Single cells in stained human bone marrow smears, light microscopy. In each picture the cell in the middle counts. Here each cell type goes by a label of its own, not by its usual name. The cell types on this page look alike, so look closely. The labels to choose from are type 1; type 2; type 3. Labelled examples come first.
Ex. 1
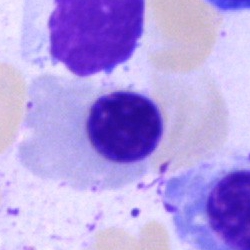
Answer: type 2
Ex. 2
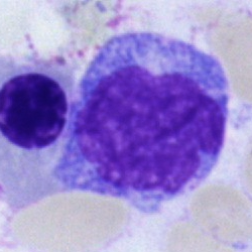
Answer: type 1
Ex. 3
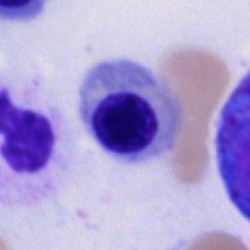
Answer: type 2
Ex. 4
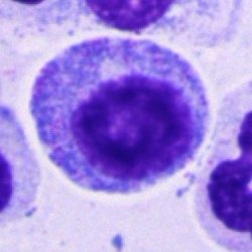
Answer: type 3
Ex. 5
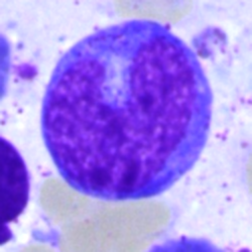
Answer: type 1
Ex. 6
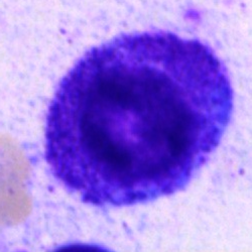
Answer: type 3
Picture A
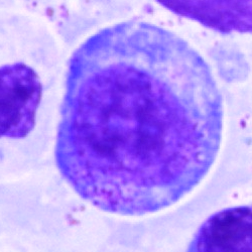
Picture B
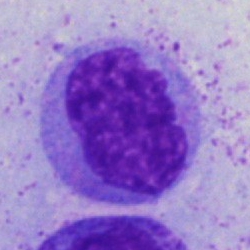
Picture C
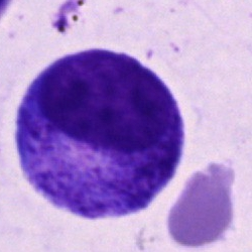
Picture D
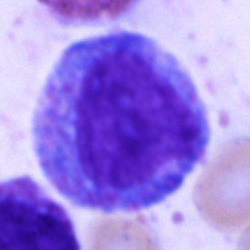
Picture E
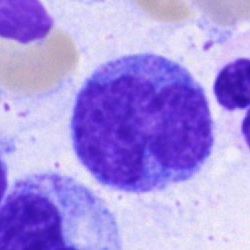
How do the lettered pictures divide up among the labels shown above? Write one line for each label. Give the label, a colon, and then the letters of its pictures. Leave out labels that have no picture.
type 1: B, E
type 3: A, C, D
